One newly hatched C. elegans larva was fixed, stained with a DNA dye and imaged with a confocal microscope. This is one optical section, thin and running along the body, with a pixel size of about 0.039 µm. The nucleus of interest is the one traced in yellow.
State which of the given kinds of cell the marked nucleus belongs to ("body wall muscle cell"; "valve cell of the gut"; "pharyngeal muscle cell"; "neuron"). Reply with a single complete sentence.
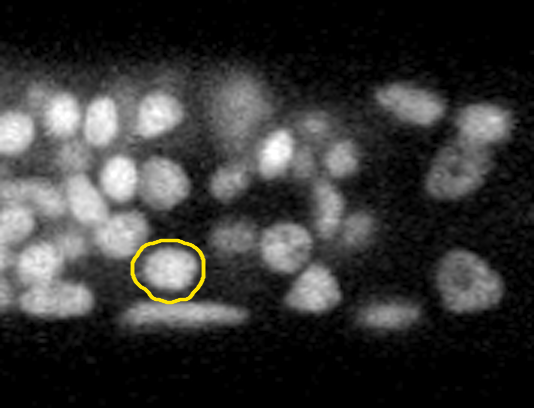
The cell with the marked nucleus is a neuron.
